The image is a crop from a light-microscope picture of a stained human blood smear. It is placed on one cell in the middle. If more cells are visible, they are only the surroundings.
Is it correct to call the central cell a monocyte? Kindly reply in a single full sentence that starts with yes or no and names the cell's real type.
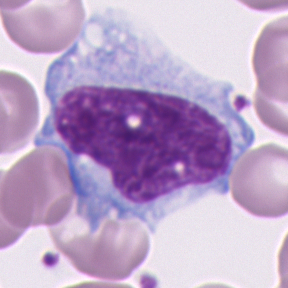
Yes, the middle cell is properly termed a monocyte.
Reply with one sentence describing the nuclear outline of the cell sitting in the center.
What stands out is a nucleus forming one compact round, oval or kidney-shaped mass.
